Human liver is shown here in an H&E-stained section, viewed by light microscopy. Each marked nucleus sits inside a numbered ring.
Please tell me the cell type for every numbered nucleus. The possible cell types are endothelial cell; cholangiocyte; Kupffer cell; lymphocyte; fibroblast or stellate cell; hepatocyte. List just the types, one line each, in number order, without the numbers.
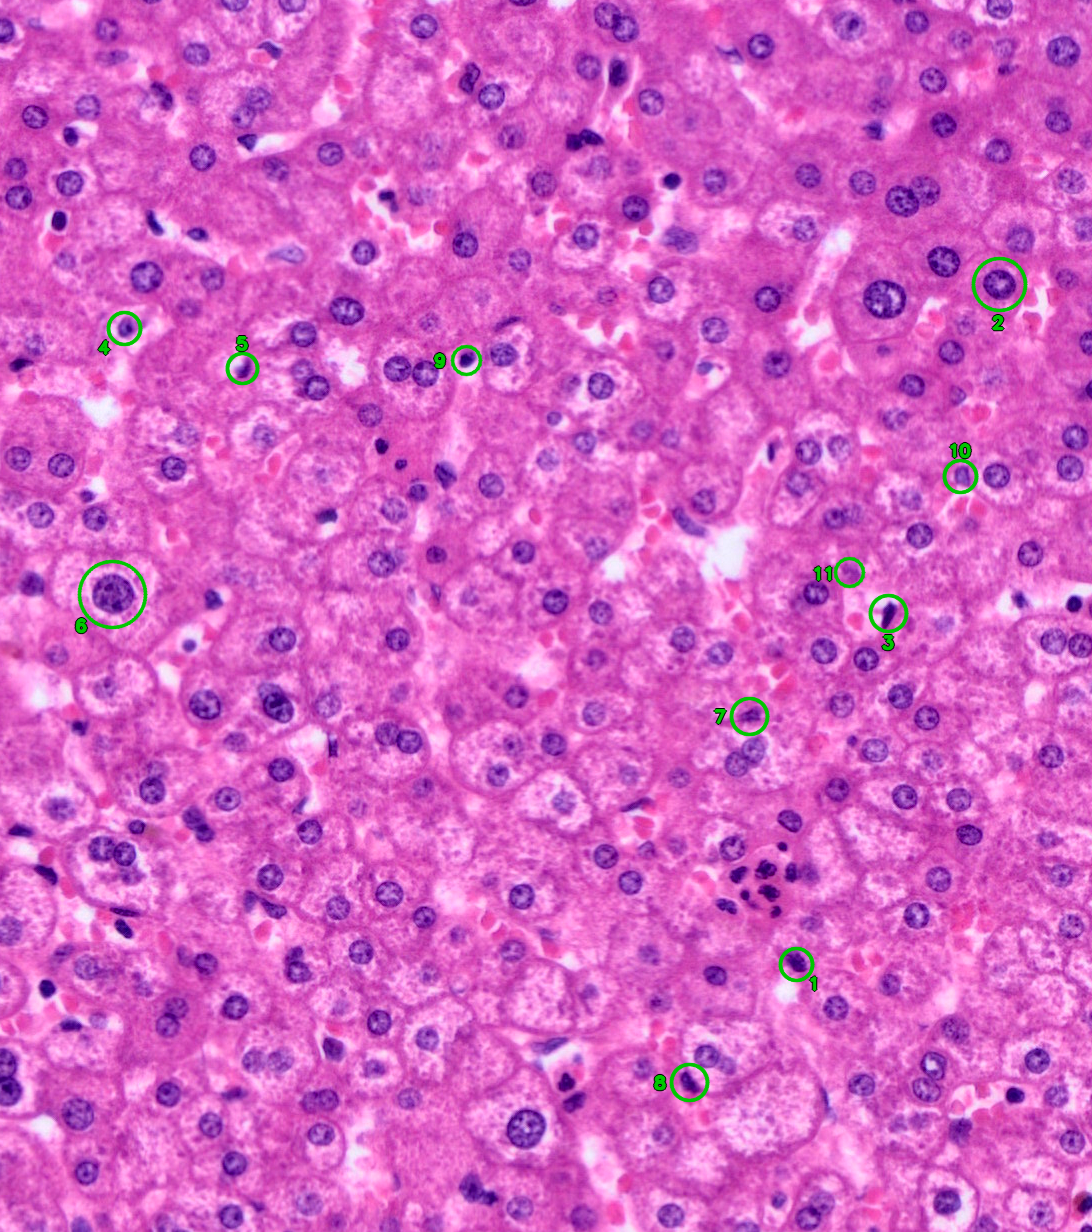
fibroblast or stellate cell
hepatocyte
endothelial cell
lymphocyte
endothelial cell
hepatocyte
fibroblast or stellate cell
fibroblast or stellate cell
lymphocyte
fibroblast or stellate cell
hepatocyte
